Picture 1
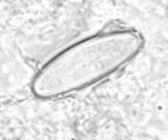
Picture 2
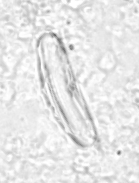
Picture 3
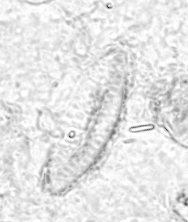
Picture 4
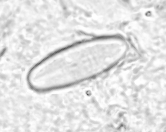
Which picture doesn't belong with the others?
Picture 3.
